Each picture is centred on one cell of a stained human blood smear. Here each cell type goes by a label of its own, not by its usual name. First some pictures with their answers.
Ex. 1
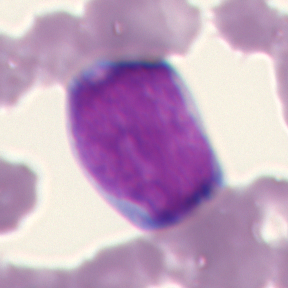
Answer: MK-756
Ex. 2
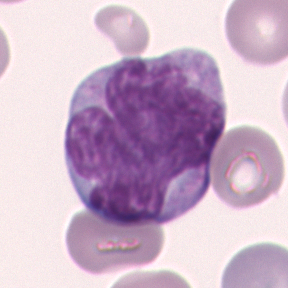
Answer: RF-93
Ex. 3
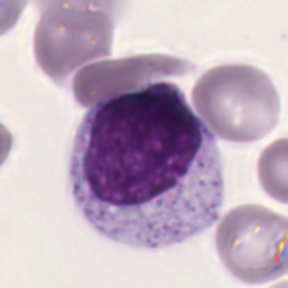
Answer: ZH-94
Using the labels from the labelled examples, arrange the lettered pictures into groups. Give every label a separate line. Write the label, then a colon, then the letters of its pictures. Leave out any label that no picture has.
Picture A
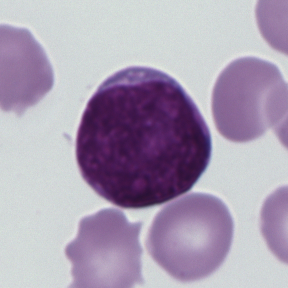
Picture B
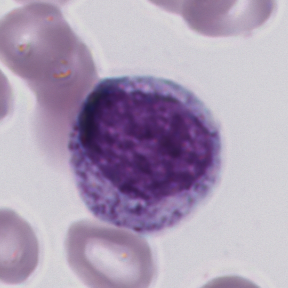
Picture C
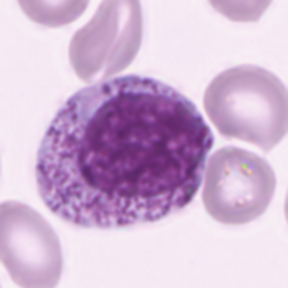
MK-756: A
ZH-94: B, C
